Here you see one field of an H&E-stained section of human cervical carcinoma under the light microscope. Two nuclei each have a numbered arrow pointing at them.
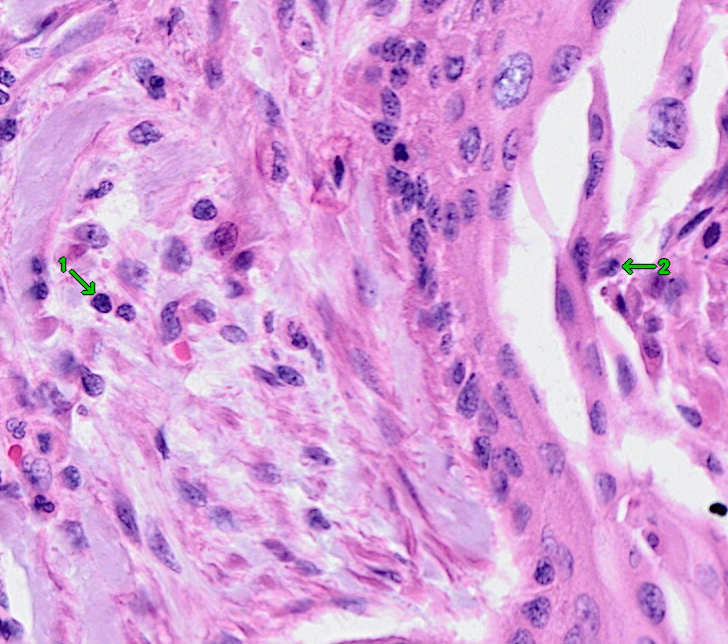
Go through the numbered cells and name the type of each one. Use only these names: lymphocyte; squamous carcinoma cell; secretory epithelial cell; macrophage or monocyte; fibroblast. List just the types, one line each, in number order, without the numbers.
lymphocyte
squamous carcinoma cell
